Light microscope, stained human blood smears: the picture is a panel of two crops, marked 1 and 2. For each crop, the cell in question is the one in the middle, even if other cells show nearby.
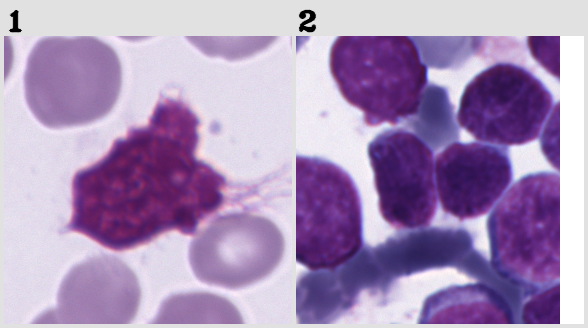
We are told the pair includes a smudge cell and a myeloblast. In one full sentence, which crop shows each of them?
The designated cell in crop 1 is a smudge cell, and the designated cell in crop 2 is a myeloblast.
